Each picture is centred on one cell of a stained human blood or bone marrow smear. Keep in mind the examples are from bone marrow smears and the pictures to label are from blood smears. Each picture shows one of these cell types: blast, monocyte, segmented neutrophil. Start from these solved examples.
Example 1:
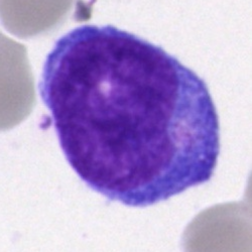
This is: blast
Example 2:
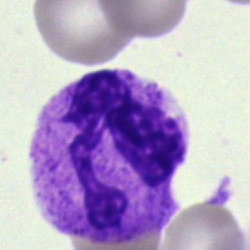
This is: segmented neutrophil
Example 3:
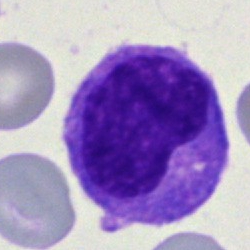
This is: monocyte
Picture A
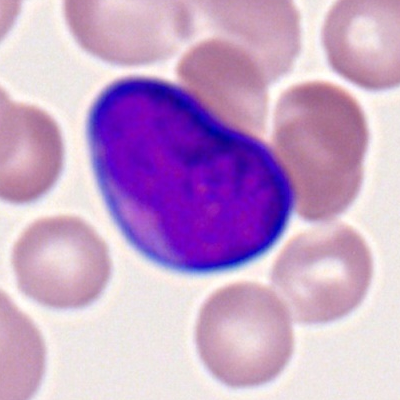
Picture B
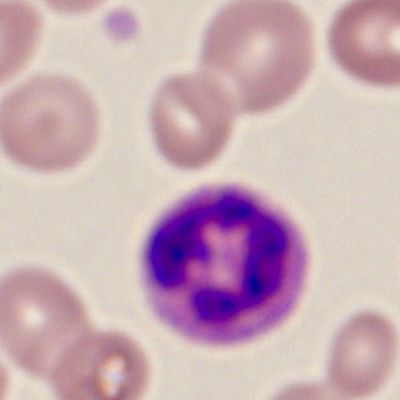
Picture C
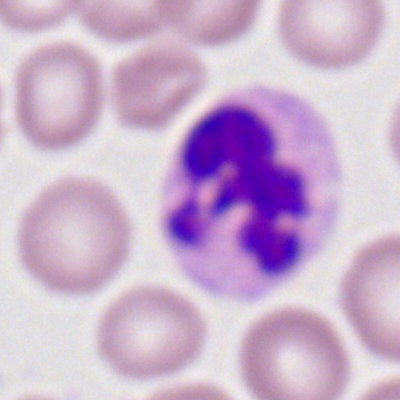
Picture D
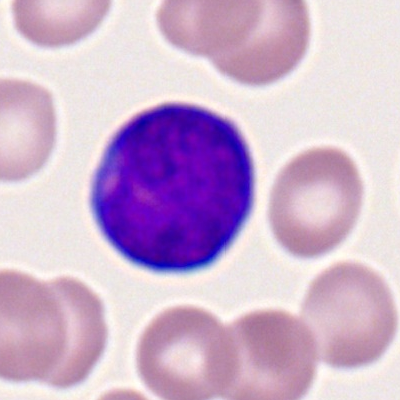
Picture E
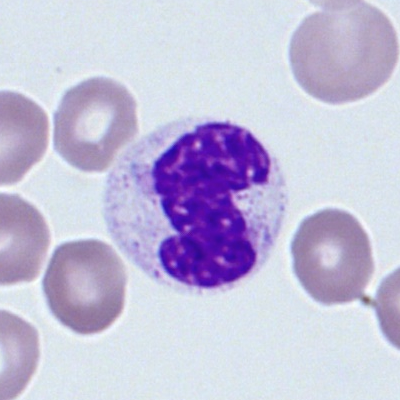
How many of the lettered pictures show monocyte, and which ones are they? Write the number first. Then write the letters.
0, none of them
